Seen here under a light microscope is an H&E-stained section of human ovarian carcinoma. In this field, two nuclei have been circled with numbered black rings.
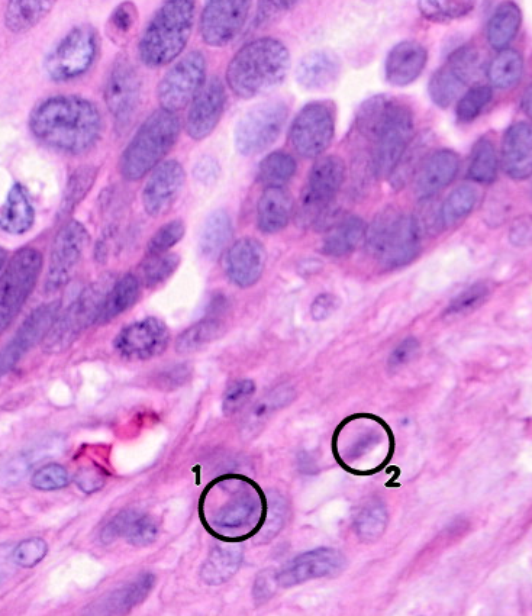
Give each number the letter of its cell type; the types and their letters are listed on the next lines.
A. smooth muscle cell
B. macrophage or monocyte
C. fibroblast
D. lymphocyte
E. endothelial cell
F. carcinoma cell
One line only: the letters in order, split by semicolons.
E; C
